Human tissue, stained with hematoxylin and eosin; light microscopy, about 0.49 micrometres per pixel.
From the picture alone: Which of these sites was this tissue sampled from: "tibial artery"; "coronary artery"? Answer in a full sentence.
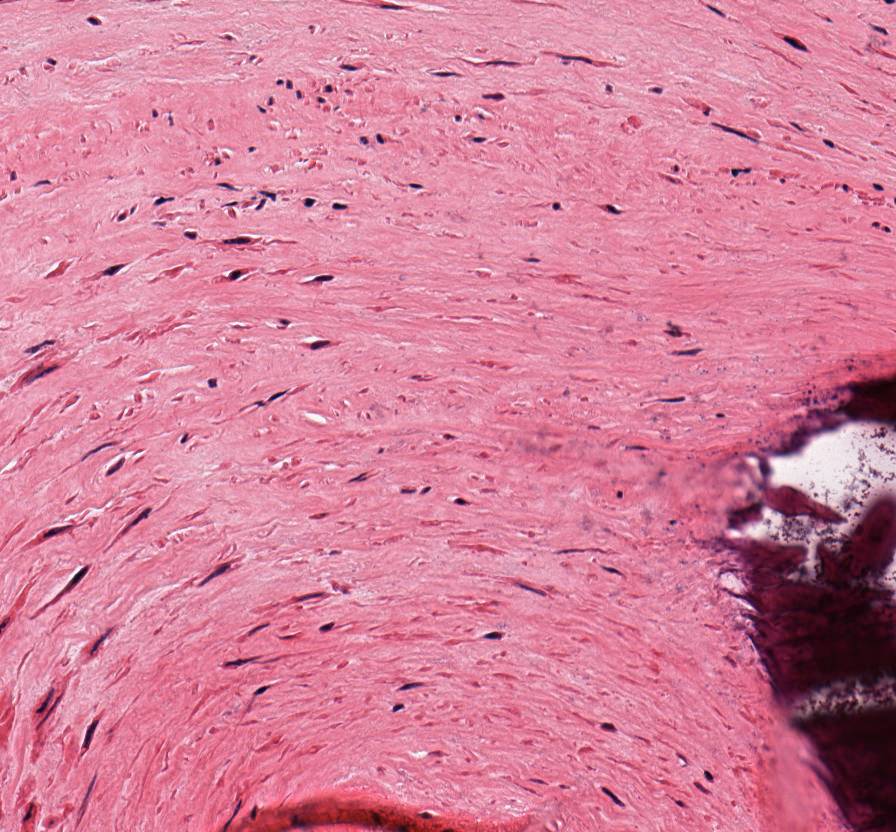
The site this tissue was sampled from is the coronary artery.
